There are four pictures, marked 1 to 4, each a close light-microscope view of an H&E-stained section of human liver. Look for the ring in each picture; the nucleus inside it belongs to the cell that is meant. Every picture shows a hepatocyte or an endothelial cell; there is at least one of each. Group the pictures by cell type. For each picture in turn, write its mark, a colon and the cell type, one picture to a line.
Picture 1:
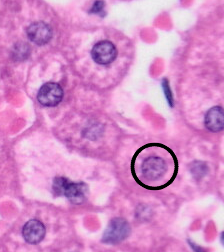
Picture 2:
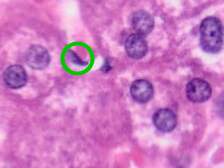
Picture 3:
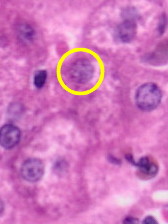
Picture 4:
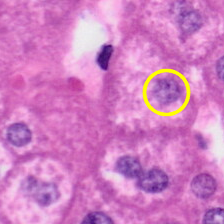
1: hepatocyte
2: endothelial cell
3: hepatocyte
4: hepatocyte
